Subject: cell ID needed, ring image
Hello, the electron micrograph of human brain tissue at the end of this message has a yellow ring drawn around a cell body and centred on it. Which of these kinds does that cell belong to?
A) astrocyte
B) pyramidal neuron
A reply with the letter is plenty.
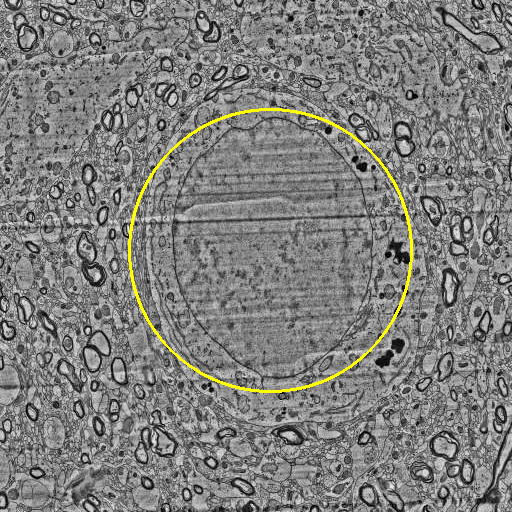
B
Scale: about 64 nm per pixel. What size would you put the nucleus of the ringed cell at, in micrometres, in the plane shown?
About 17 by 13 micrometers for the nucleus, in this plane.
